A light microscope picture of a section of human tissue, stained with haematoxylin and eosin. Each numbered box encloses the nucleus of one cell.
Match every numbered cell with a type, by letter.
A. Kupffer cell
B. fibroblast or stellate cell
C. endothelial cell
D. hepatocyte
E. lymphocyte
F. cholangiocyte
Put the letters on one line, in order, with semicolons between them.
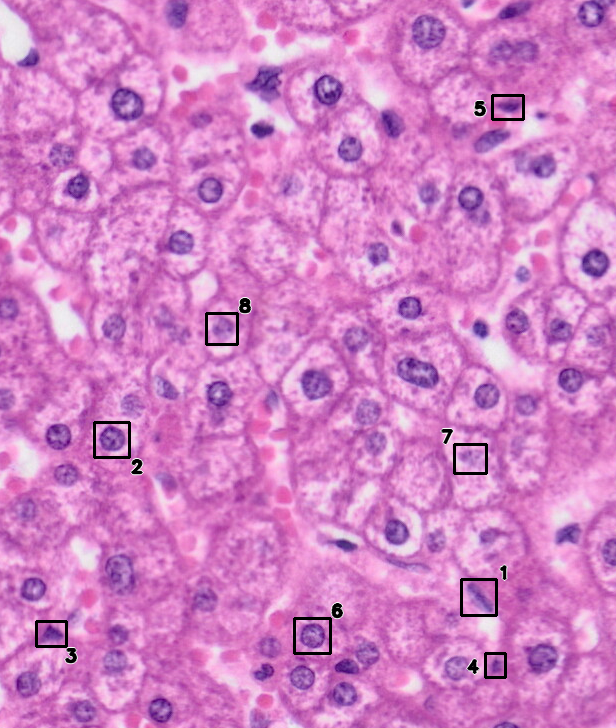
C; D; B; B; C; D; D; D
